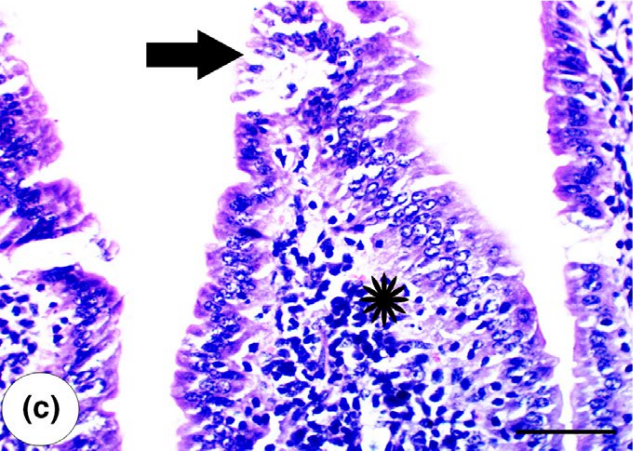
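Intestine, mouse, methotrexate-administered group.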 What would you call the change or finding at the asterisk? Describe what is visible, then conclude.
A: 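The core around the asterisk is crowded with many small dark round nuclei. The core is much denser with cells than a loose connective core.
Answer: extensive infiltration of round cells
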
